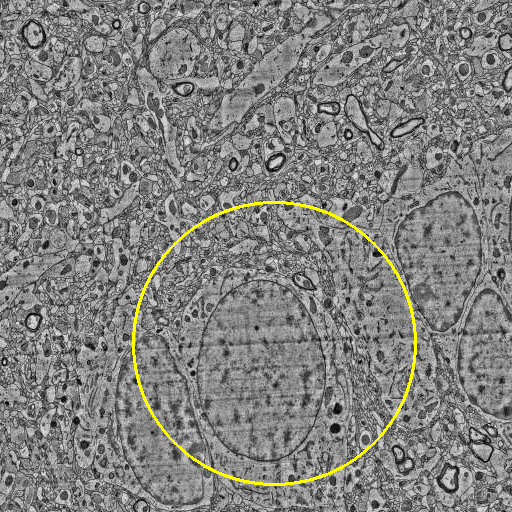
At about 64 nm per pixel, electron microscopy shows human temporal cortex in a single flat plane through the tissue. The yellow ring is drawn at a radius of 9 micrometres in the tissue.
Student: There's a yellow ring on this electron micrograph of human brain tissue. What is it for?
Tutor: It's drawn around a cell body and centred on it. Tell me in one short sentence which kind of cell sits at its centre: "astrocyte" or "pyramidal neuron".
The cell at the centre of the ring is a pyramidal neuron.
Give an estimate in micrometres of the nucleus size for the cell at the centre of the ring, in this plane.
The nucleus measures about 12 by 9 micrometres in this plane.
